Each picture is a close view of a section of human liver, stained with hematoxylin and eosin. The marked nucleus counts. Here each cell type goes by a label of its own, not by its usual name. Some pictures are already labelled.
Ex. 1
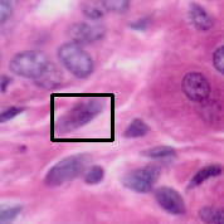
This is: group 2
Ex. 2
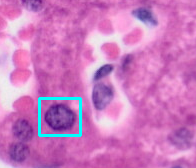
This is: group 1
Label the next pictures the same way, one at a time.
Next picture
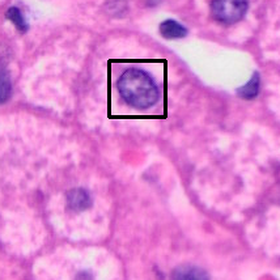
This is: group 1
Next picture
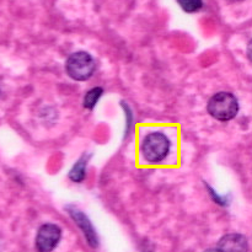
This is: group 1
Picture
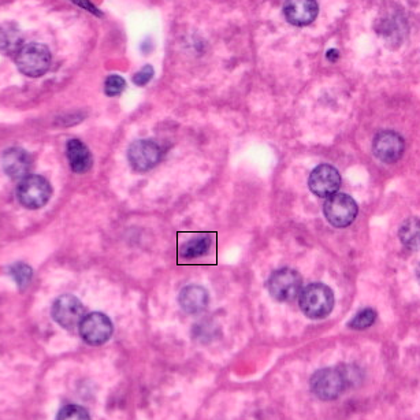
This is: group 2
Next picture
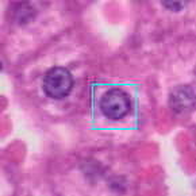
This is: group 1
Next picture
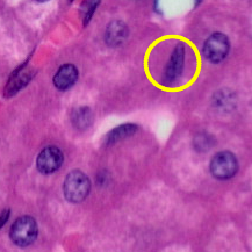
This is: group 2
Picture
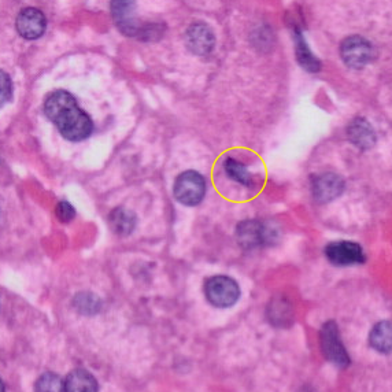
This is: group 2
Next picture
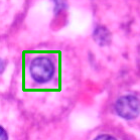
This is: group 1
